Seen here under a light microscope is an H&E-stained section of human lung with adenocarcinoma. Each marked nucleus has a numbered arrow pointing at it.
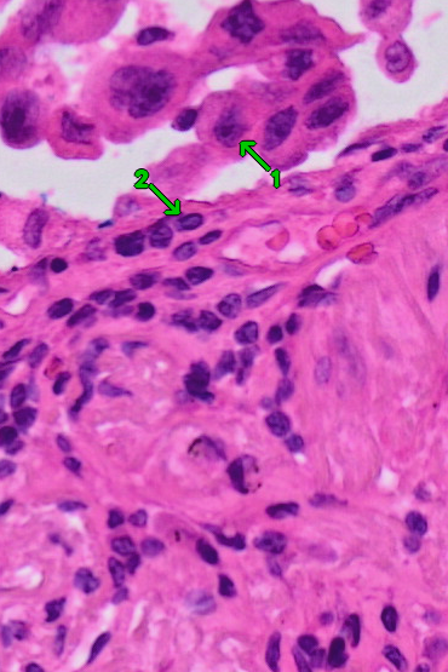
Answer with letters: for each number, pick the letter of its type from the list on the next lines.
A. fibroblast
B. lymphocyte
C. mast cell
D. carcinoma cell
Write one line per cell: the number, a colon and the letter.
1: D
2: B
